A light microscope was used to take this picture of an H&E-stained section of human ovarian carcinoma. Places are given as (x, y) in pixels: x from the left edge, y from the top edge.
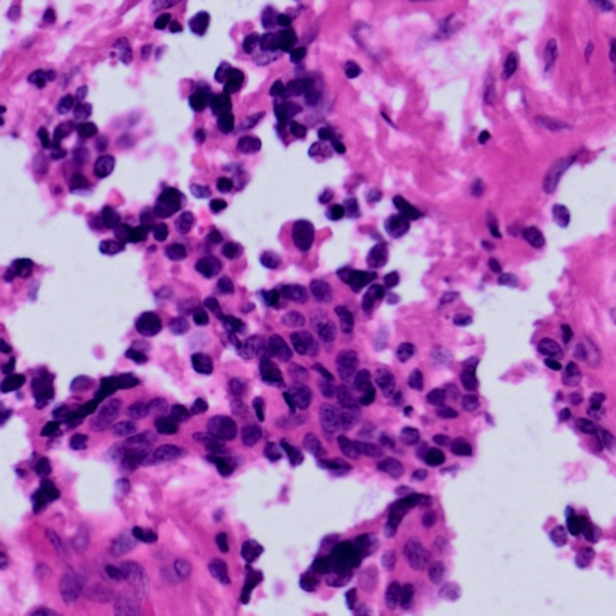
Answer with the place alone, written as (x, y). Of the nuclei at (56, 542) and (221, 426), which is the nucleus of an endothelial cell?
(56, 542)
